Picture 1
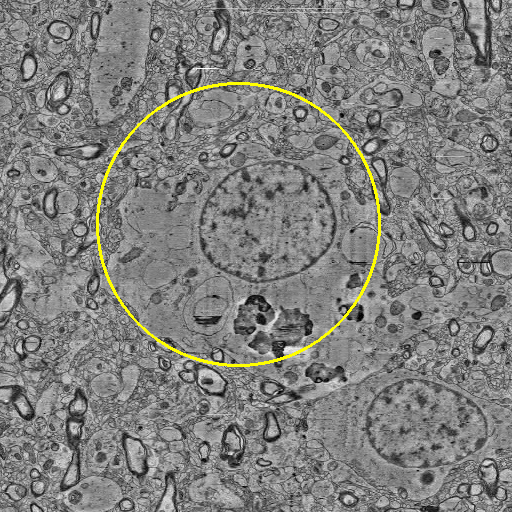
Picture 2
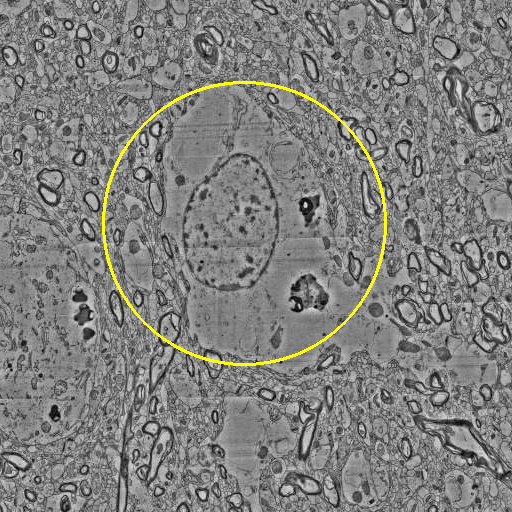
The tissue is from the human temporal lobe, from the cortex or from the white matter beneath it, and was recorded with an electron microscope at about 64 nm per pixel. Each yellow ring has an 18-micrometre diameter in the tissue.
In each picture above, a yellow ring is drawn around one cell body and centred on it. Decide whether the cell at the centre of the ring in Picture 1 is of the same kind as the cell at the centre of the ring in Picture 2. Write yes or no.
yes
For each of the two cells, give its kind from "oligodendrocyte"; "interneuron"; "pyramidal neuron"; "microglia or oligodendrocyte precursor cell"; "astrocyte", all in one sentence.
Each of the two pictures has an astrocyte at the ring centre.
